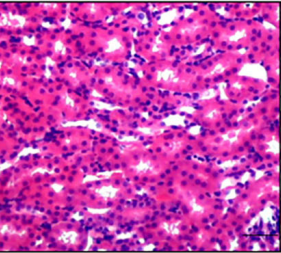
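Kidney tissue made of closely packed renal tubules cut at various angles, their epithelial cells with pink cytoplasm and round purple nuclei lining narrow, slit-like lumens. The staining is even across the field. This is renal tubular tissue without marked injury.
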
